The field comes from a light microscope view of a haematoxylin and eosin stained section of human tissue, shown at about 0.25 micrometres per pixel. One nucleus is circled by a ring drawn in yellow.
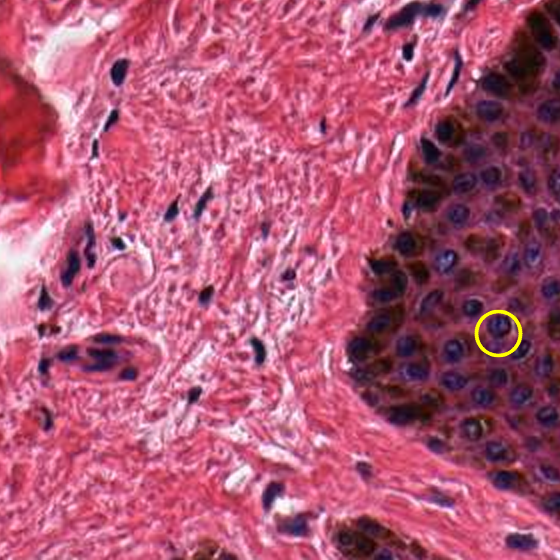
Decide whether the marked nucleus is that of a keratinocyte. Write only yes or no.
yes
